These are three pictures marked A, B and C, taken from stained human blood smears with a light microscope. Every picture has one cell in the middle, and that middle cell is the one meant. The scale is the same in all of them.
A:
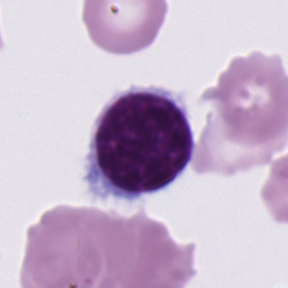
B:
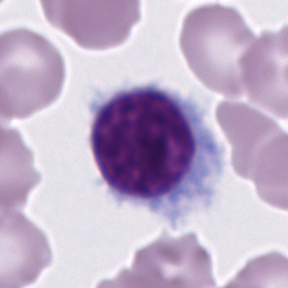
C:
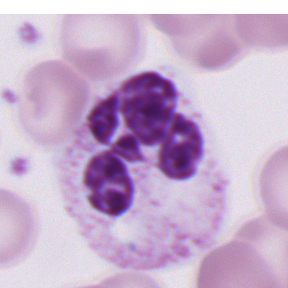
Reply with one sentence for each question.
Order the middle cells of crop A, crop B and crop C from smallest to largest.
Smallest first: A, B, C.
